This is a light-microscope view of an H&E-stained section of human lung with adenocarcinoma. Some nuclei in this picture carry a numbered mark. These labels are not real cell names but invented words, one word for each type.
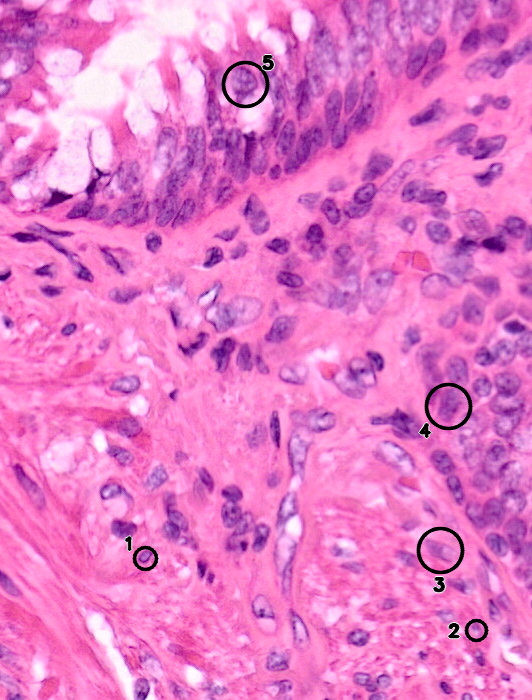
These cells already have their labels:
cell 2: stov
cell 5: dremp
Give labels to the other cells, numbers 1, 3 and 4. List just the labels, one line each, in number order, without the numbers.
stov
stov
dremp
